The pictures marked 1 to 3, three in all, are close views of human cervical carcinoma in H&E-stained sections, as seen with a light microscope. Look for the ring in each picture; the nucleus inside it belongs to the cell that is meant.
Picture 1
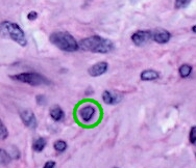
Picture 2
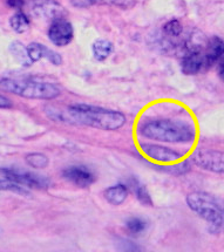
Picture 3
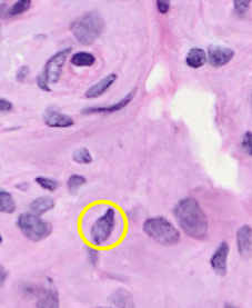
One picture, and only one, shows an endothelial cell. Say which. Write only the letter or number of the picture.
2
